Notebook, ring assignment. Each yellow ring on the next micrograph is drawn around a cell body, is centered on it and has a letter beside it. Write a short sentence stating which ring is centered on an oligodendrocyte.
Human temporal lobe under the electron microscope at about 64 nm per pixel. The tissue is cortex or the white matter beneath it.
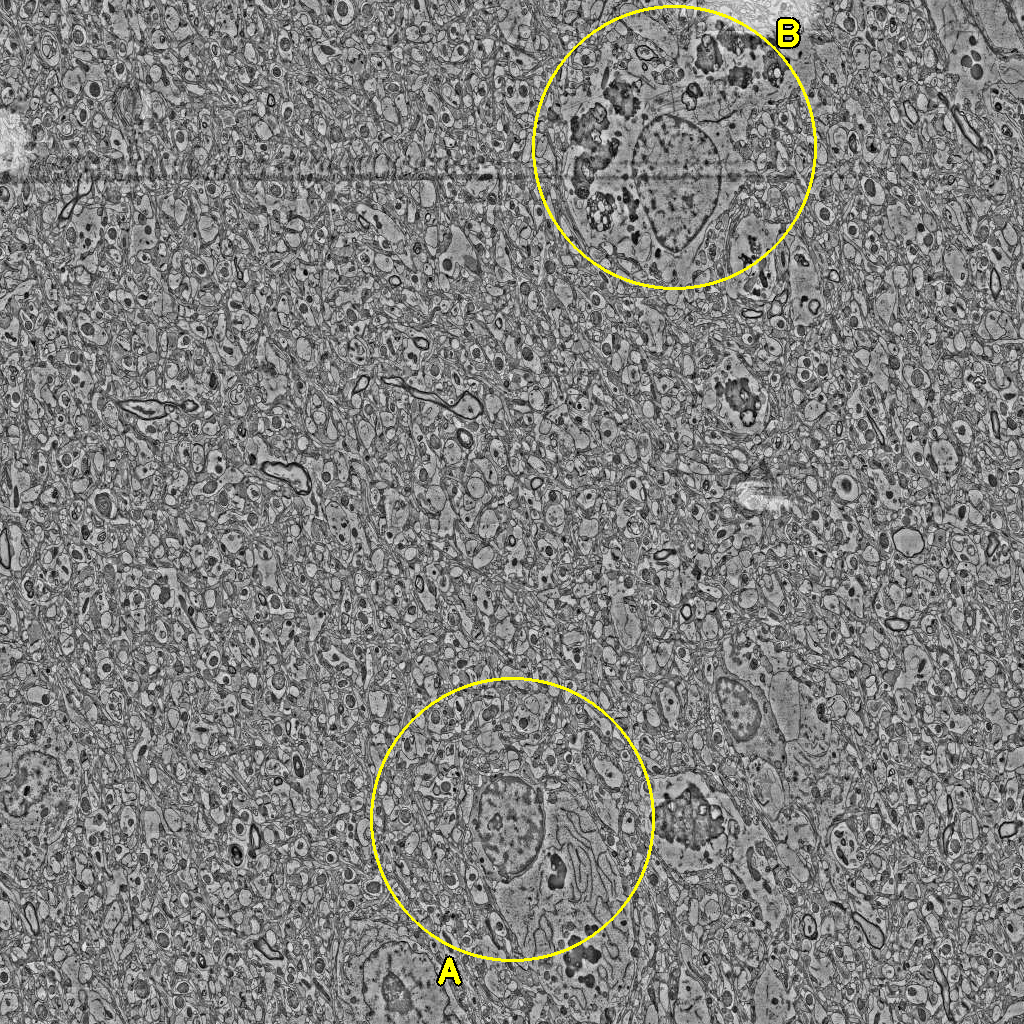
Ring A is centered on it.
